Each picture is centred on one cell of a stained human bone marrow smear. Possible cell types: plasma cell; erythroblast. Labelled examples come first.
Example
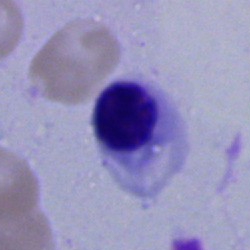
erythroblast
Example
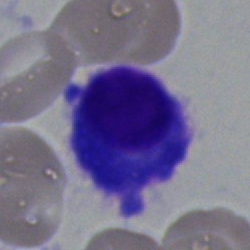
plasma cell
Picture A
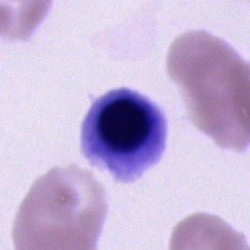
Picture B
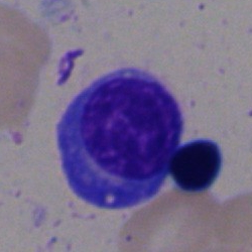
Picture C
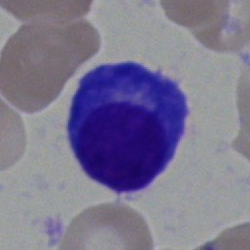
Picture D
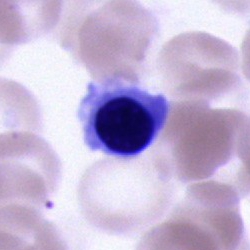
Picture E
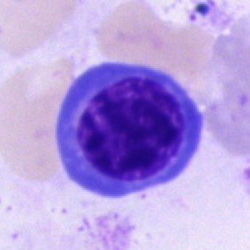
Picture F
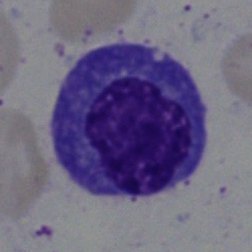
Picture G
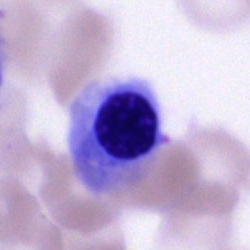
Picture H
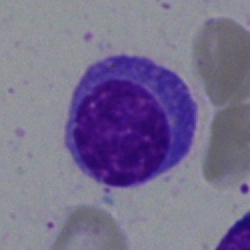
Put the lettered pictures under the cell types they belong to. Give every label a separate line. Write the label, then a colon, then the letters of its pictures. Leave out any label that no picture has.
plasma cell: B, C, F, H
erythroblast: A, D, E, G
